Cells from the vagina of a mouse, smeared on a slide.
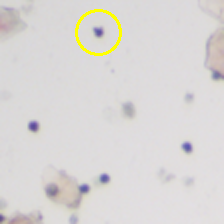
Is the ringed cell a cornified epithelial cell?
No, it is a leukocyte.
